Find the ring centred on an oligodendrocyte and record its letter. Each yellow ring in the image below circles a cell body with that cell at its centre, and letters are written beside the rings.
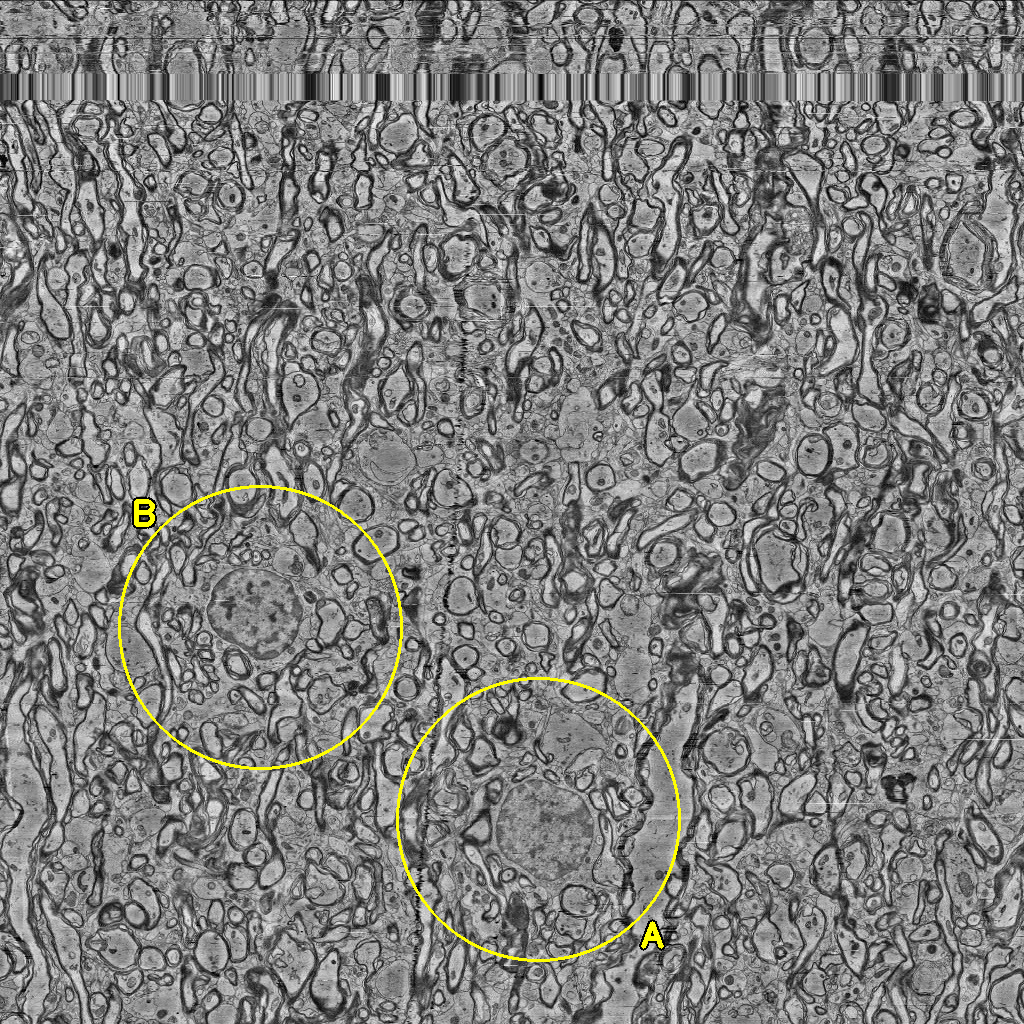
A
